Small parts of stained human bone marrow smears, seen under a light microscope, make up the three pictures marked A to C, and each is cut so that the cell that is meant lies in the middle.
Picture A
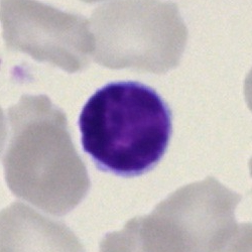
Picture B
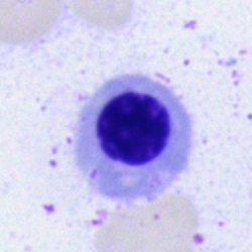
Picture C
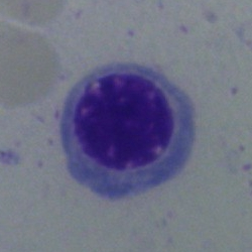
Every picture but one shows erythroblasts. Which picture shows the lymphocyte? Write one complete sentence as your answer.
It is picture A that shows the lymphocyte.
